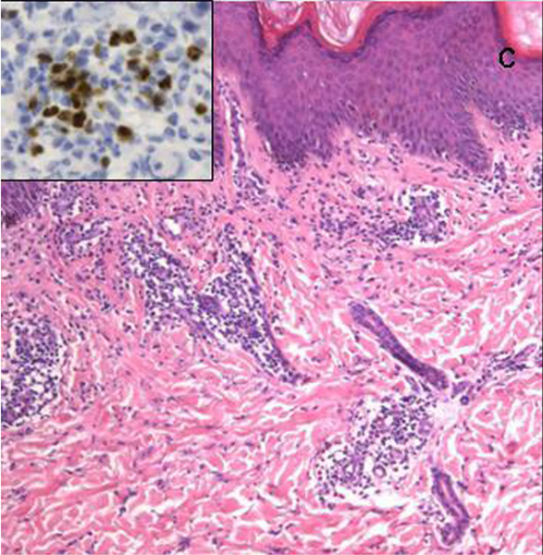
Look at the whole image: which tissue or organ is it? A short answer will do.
Skin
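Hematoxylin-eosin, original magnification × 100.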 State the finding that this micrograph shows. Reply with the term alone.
perivascular infiltration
